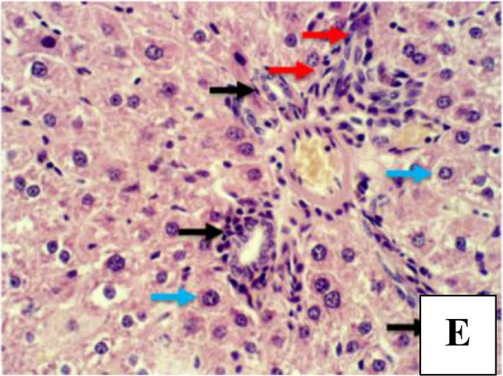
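Portal area of liver surrounded by dense clusters of small cells with dark nuclei, infiltrating among the hepatocytes. Hepatocytes around it are large and polygonal, with pink cytoplasm and round nuclei.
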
